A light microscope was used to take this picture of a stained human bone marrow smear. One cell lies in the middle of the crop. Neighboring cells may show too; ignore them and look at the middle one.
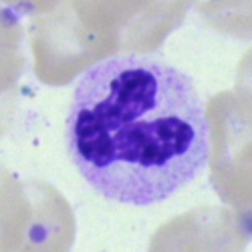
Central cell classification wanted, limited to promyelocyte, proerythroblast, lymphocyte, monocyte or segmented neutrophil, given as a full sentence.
In the middle of this smear crop is a segmented neutrophil.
